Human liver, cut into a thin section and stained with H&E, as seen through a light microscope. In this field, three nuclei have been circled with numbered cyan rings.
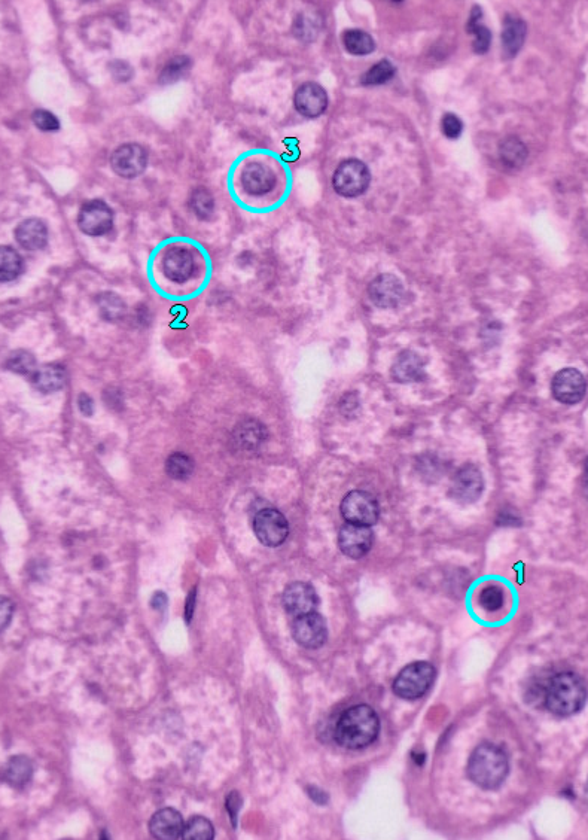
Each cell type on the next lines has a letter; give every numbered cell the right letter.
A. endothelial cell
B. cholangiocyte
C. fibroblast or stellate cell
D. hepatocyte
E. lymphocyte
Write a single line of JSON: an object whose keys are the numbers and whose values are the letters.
{"1": "E", "2": "D", "3": "D"}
